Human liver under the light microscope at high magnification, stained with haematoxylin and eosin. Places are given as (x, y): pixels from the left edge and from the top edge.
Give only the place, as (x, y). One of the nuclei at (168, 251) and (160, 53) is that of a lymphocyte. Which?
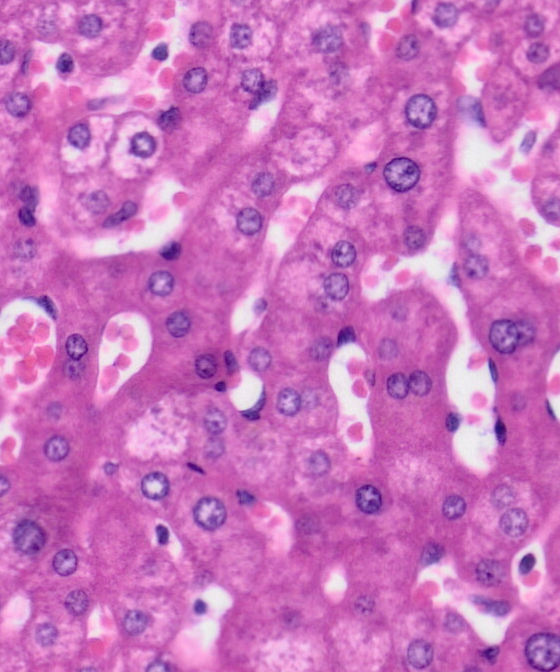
(160, 53)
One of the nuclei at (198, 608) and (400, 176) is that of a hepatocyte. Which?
(400, 176)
